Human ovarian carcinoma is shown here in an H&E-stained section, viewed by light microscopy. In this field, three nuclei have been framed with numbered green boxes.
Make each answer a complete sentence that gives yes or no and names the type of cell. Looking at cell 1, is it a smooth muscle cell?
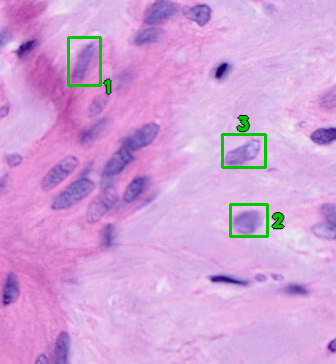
Yes, regarding cell number 1, it is a smooth muscle cell.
